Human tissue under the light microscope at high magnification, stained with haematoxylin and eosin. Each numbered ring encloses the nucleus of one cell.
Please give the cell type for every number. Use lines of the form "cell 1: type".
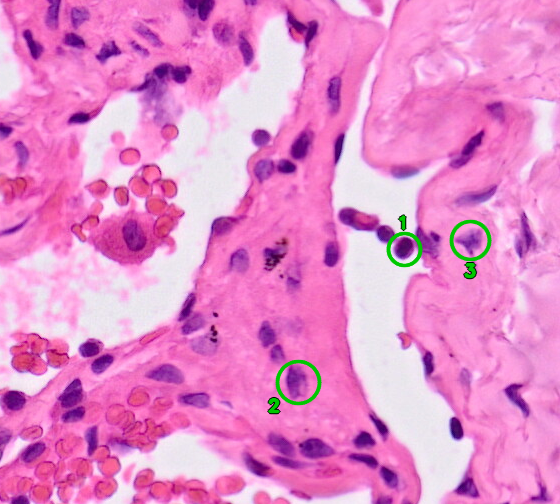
cell 1: lymphocyte
cell 2: fibroblast
cell 3: fibroblast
